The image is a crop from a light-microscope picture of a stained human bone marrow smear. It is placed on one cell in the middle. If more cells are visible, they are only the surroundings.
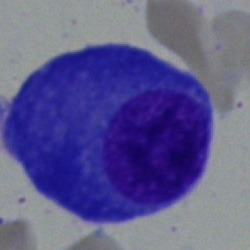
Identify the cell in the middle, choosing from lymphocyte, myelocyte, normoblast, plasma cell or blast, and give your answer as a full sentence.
The cell in the middle of this crop is a plasma cell.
